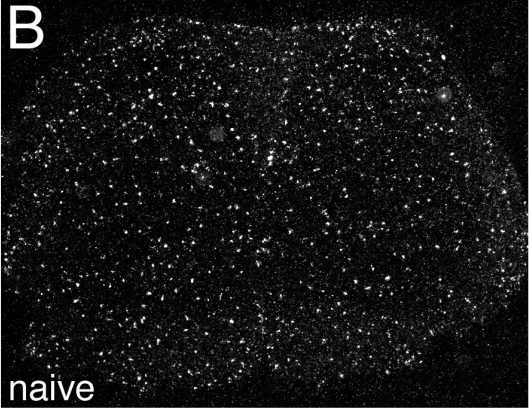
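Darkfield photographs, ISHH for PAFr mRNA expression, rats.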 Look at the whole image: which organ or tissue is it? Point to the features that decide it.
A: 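A transverse section with an oval outline. Scattered bright grains across the whole section.
Conclusion: spinal cord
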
